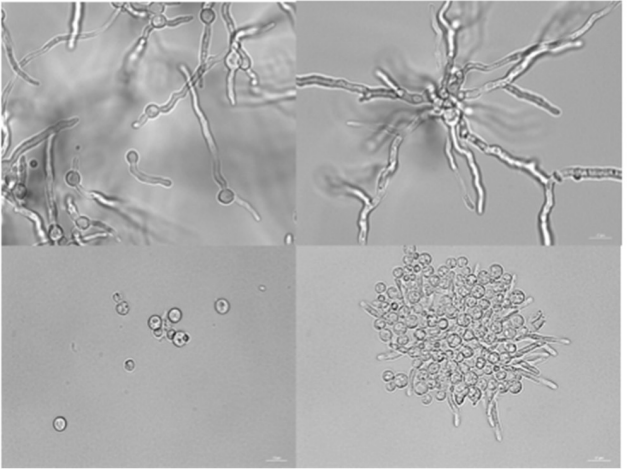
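Four grey interference-contrast fields of a filamentous fungus. In the upper two, rounded spores have put out long, branching tubular hyphae that spread across the field, radiating from a central clump in the right-hand field. In the lower left field only a few scattered round spores lie apart, without visible germ tubes; the lower right field shows a dense cluster of many round spores, several of which bear short germ tubes.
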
